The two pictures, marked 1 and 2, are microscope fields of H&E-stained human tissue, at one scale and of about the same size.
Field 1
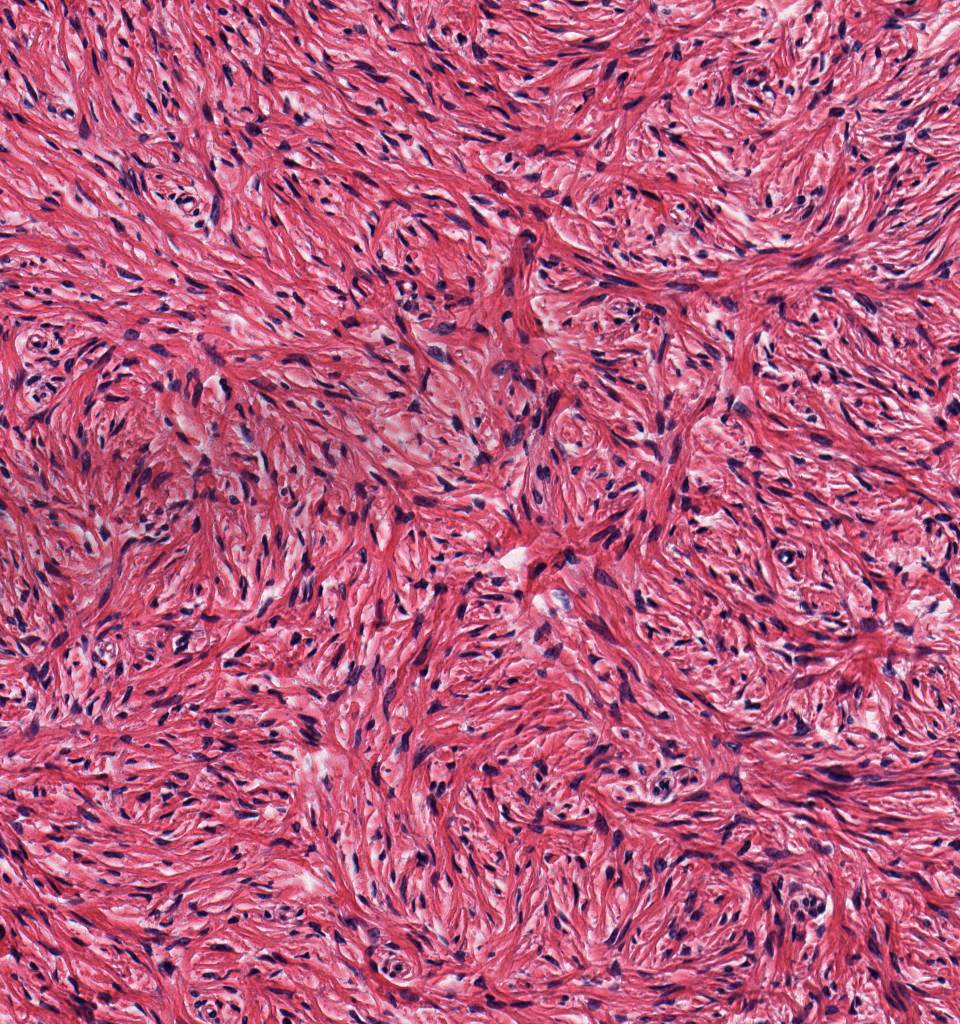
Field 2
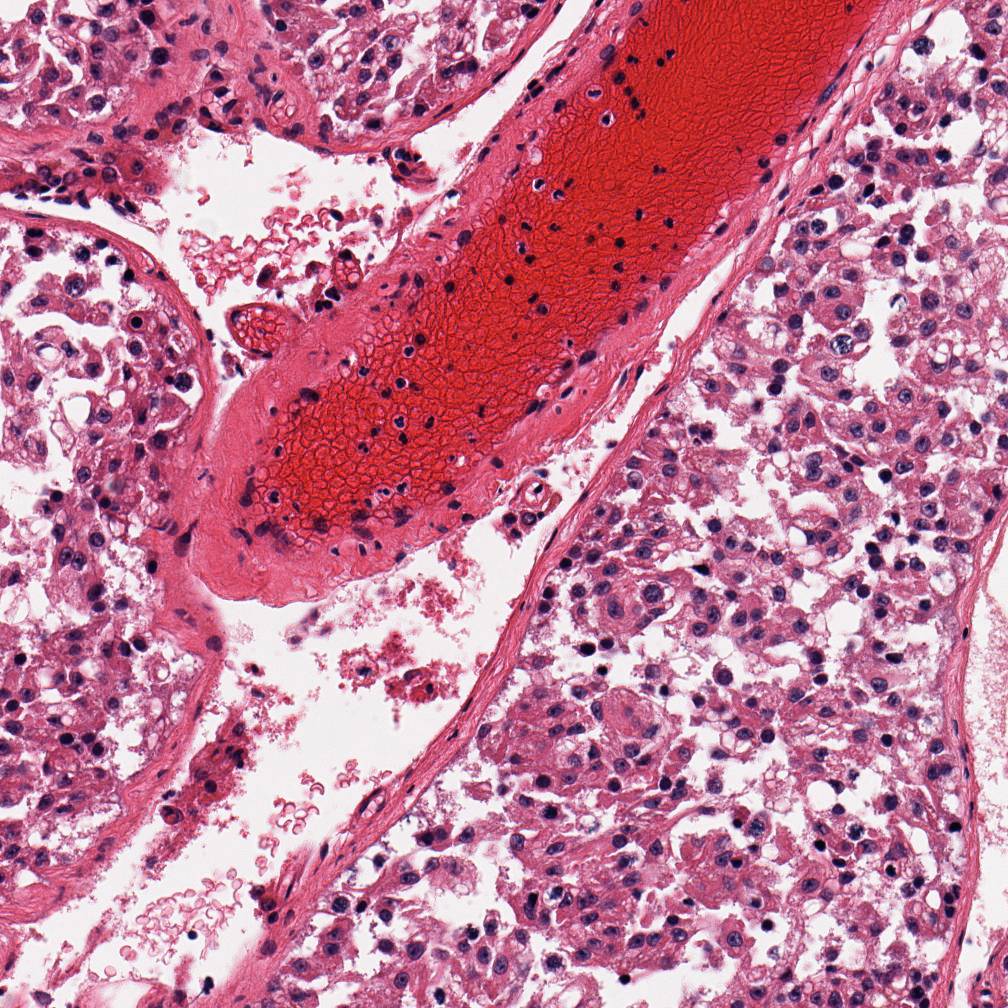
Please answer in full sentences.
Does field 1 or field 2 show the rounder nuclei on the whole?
Rounder nuclei lie in field 2.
